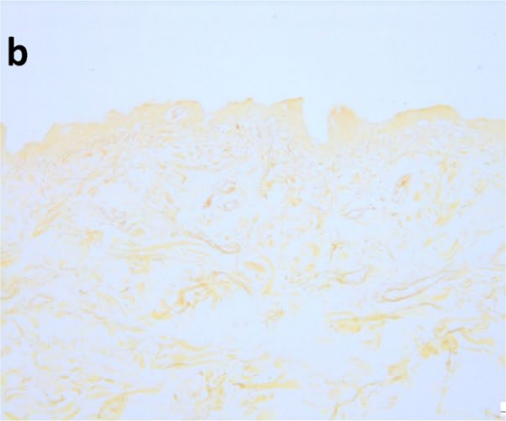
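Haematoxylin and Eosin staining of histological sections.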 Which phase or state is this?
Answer: Decellularised dermal matrix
